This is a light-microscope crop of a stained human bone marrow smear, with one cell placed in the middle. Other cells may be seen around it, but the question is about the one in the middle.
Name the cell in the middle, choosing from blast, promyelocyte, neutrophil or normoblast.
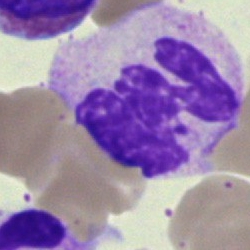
neutrophil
